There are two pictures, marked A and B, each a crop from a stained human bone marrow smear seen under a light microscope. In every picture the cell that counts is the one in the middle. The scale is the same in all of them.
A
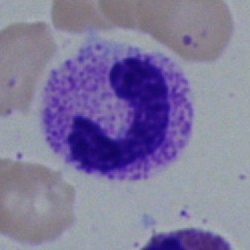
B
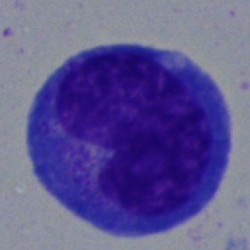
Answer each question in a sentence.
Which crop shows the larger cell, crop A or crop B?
Crop B holds the larger cell; it covers about 2 times the area of the cell in crop A.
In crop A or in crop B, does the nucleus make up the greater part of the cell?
In crop B the nucleus takes up the larger part of its cell.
